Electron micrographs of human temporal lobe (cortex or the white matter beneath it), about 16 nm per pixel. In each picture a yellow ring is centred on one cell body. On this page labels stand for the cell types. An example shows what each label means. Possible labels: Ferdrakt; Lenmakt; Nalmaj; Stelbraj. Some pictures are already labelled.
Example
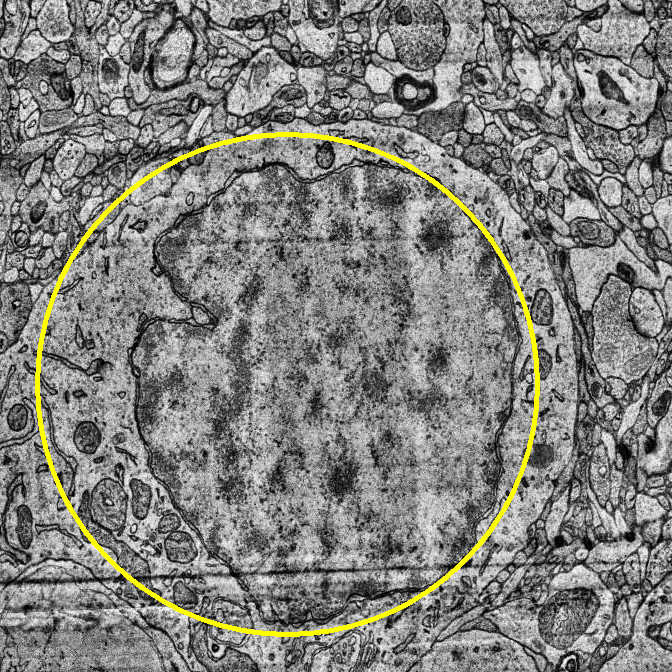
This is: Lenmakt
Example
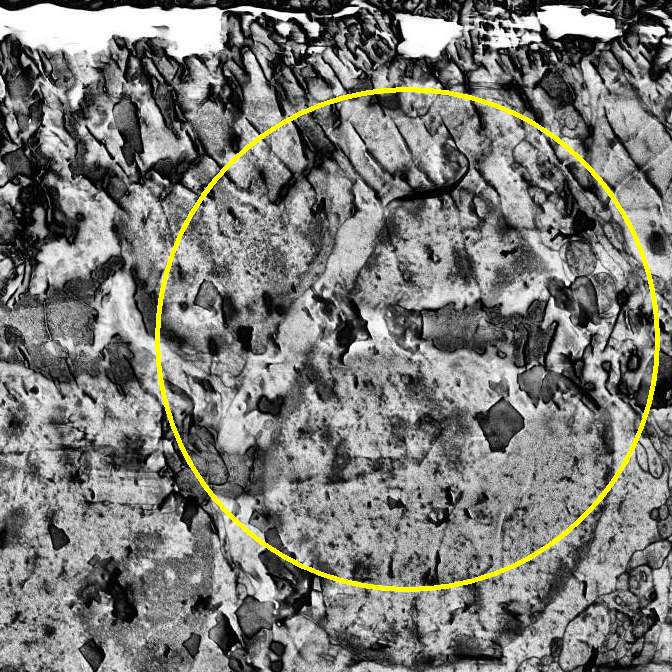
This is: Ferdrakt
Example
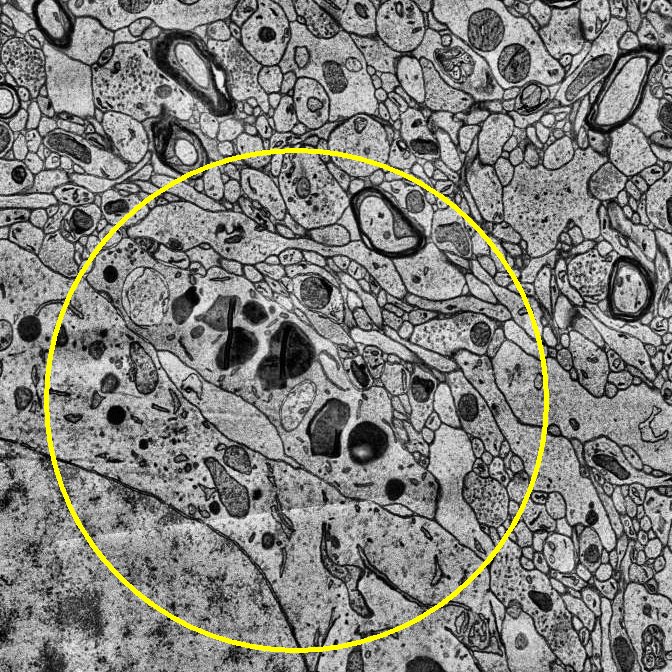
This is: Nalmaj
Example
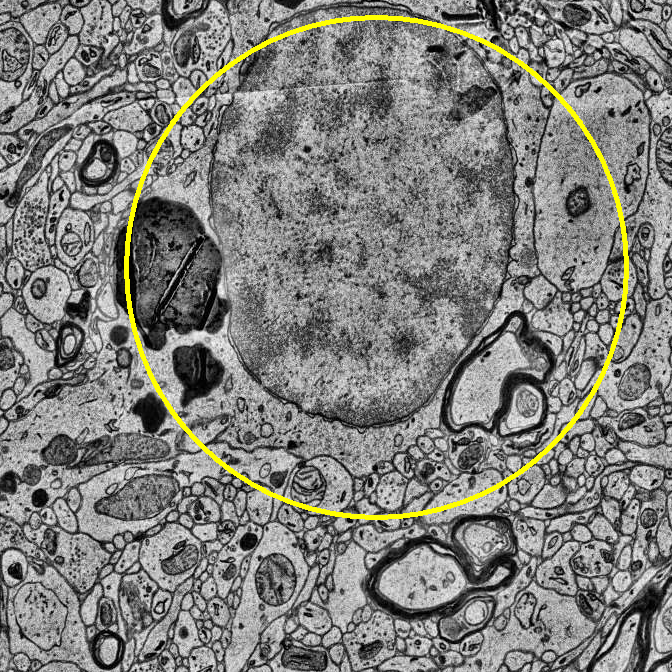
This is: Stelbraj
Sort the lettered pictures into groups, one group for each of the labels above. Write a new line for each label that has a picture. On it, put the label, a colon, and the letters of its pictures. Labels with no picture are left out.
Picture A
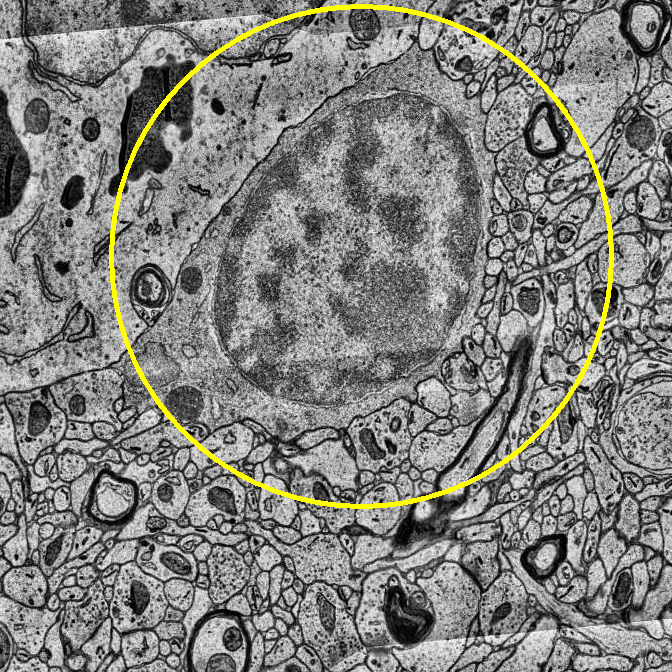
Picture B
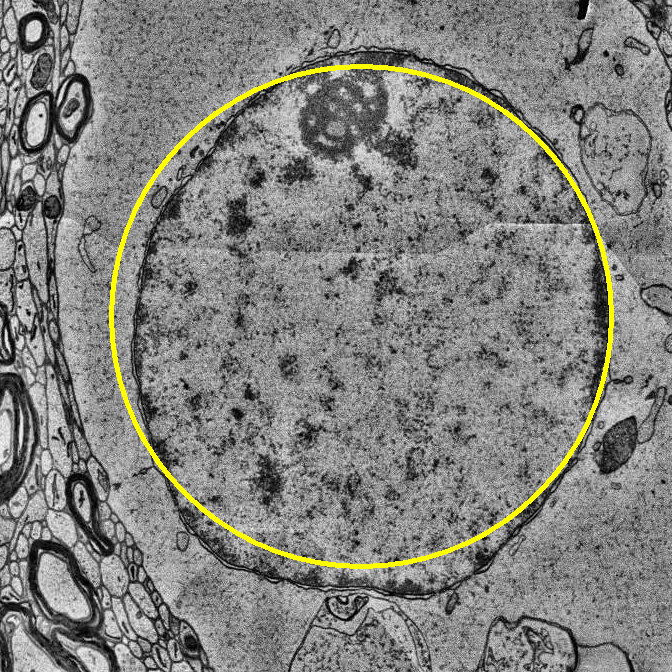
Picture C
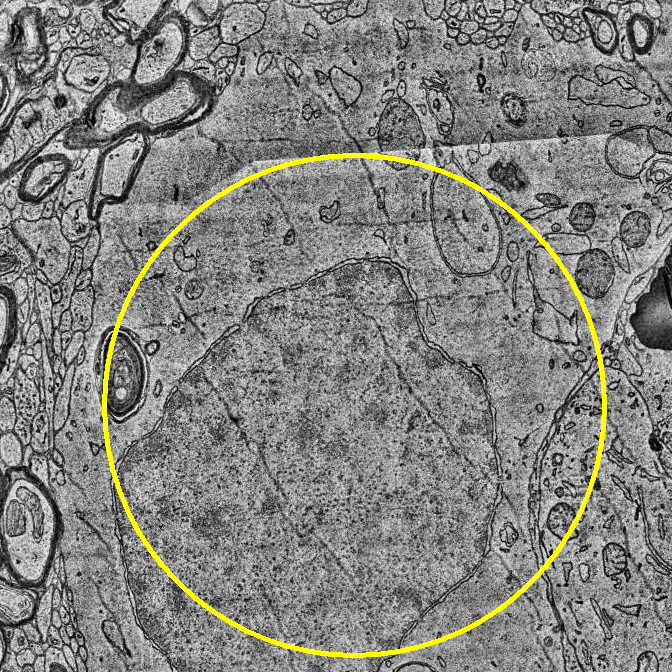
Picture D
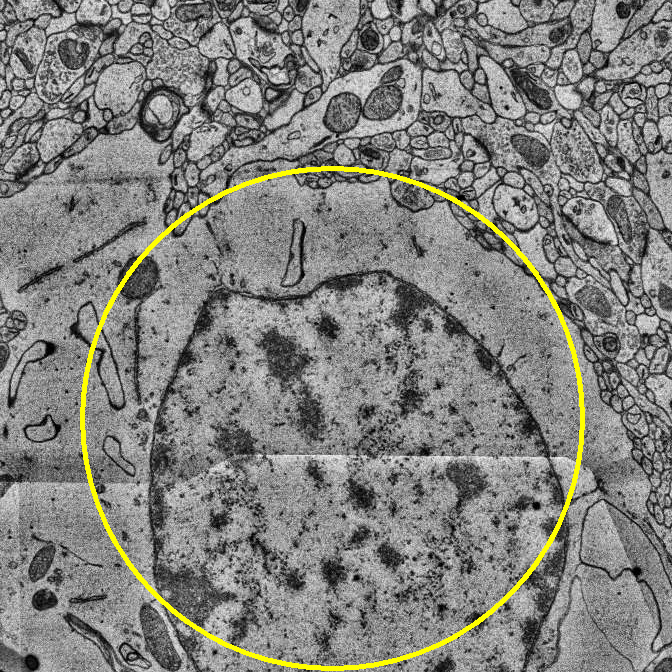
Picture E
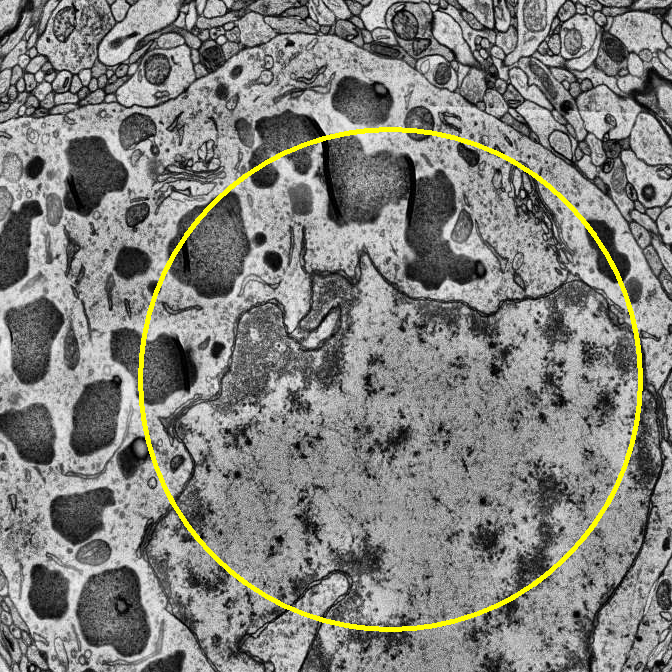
Ferdrakt: B, C, D
Lenmakt: E
Stelbraj: A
